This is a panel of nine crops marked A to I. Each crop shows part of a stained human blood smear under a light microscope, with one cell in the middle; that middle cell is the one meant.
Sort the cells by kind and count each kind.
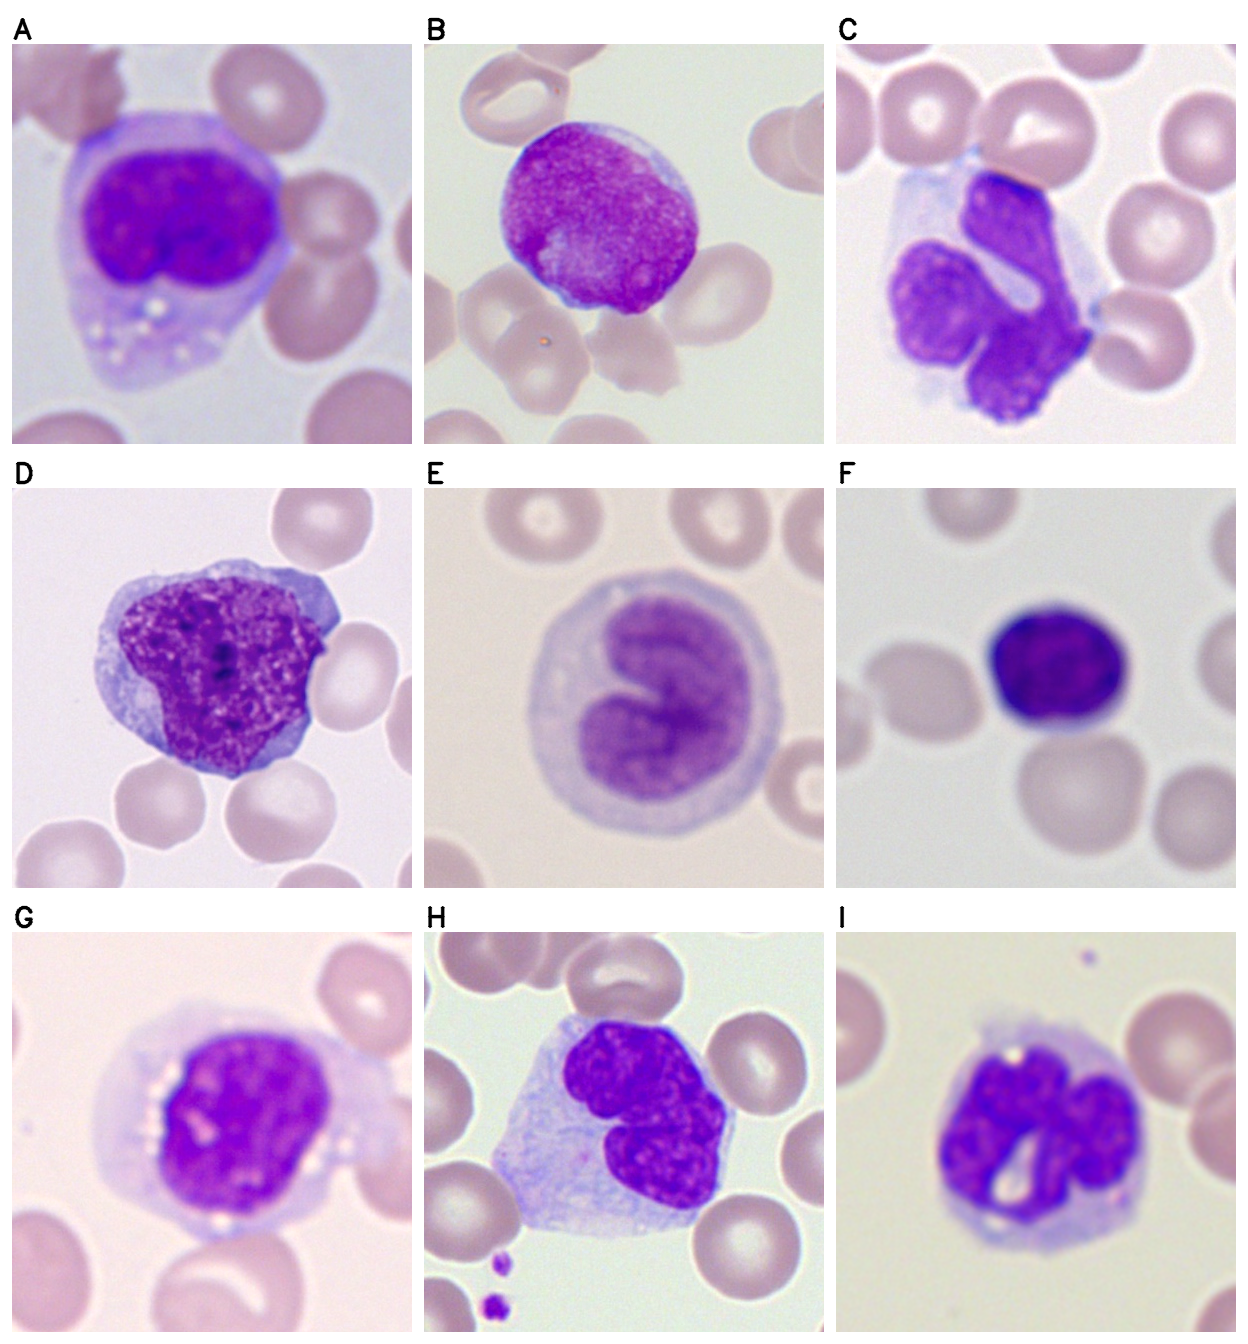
monocyte: 6
blast: 2
lymphocyte: 1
